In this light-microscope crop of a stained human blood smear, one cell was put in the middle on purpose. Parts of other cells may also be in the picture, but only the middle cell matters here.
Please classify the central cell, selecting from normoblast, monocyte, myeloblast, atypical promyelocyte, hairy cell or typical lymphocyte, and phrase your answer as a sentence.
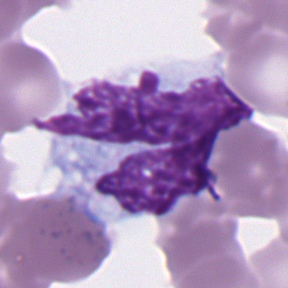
Classification of the middle cell gives a monocyte.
